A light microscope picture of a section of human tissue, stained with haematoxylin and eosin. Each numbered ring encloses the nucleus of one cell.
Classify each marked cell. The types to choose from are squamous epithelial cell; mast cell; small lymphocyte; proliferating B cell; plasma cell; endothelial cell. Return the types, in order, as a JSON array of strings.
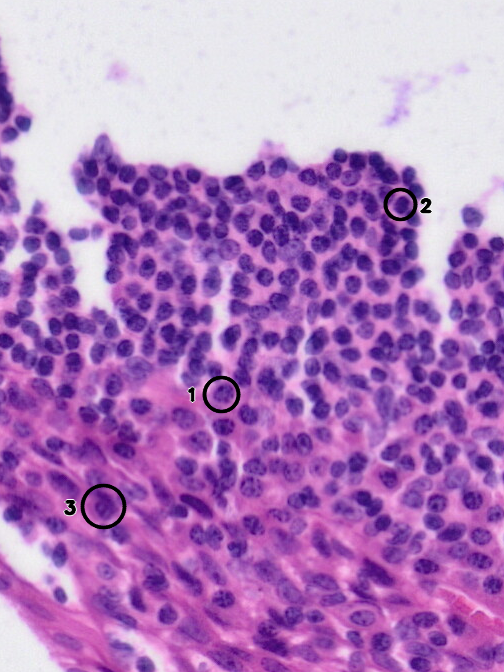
["plasma cell", "small lymphocyte", "squamous epithelial cell"]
